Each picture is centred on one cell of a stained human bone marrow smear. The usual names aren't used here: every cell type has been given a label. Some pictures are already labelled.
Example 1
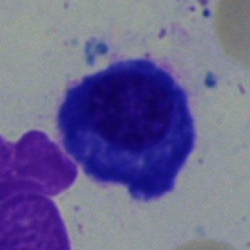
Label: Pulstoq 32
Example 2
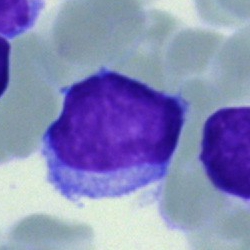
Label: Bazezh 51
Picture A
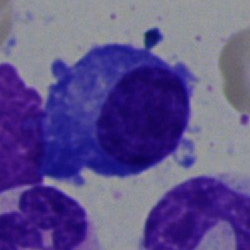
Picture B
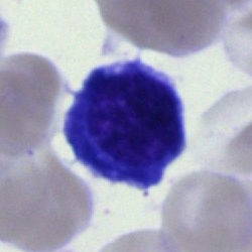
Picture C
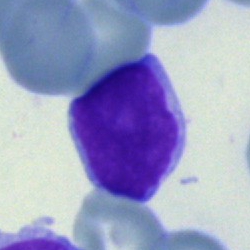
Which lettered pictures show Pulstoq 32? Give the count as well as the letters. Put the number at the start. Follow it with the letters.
2: A, B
